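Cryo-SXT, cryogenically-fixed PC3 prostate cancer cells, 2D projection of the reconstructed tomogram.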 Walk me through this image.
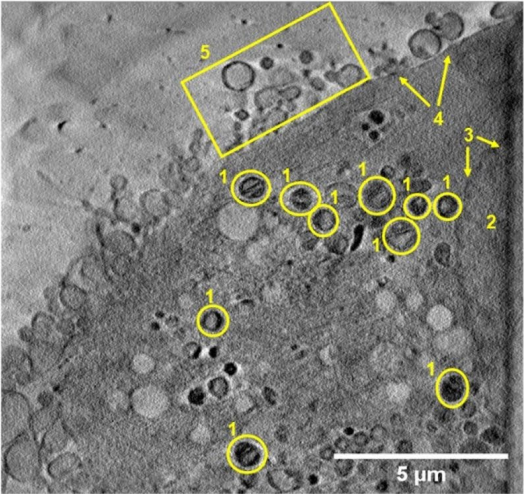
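Along the cell margin lie many round vesicles of varied size seen as rings. The cytoplasm holds dark oval mitochondria, some with fine internal lines, scattered singly and in a cluster, together with paler round bodies. Toward the right edge a further boundary marks the nuclear membrane next to the nucleus.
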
